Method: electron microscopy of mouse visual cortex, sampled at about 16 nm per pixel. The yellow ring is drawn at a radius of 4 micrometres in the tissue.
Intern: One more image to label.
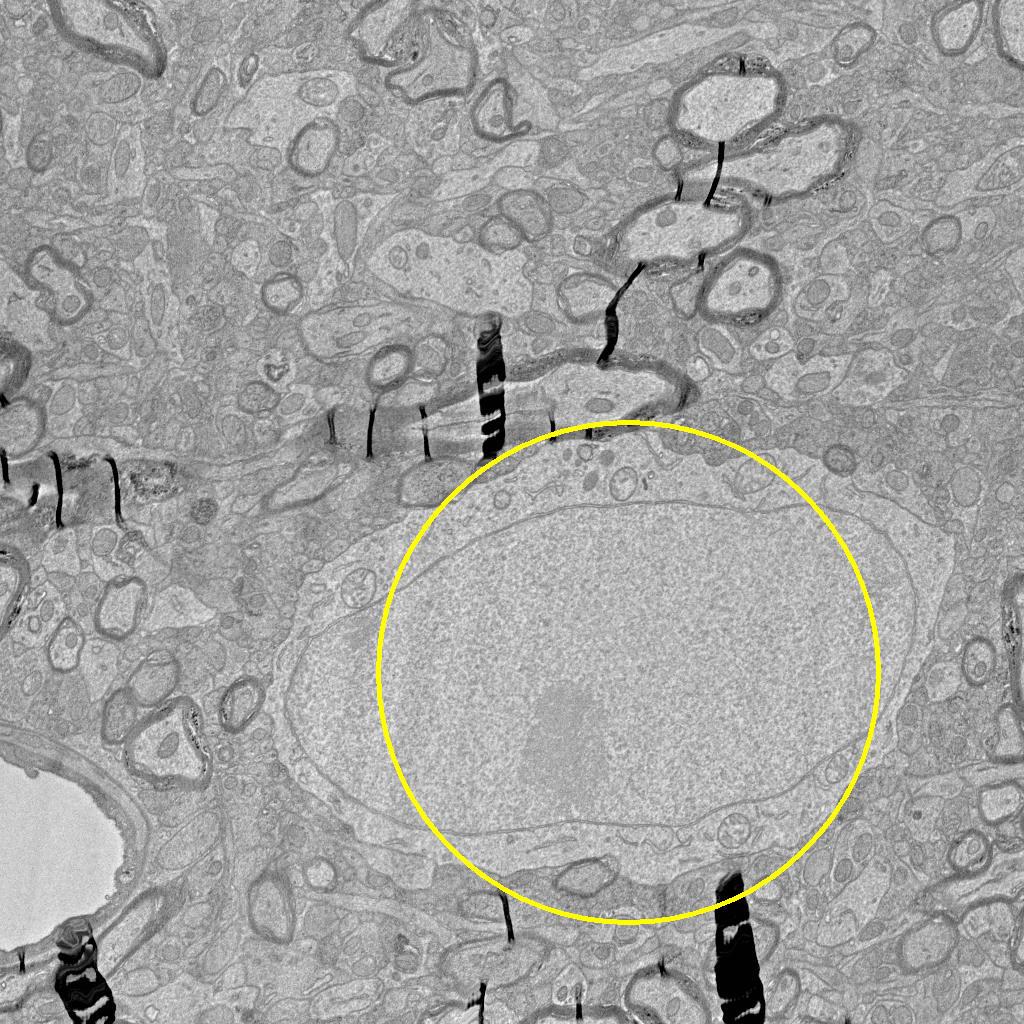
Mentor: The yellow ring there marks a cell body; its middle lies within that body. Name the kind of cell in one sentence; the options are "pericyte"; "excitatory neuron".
The ring marks the cell body of an excitatory neuron.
